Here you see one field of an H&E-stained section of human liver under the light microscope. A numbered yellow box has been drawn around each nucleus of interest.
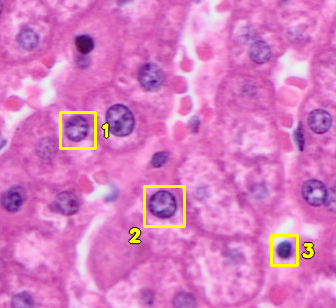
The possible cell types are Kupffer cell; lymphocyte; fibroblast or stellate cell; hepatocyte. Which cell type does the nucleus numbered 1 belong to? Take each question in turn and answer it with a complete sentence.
The one numbered 1 among the marked cells is a hepatocyte.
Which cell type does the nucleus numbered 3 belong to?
The nucleus with number 3 is that of a lymphocyte.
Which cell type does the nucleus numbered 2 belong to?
The nucleus labelled 2 belongs to a hepatocyte.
